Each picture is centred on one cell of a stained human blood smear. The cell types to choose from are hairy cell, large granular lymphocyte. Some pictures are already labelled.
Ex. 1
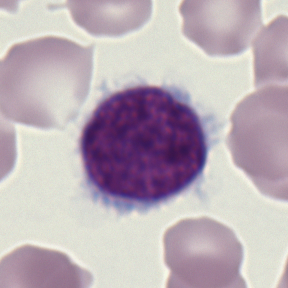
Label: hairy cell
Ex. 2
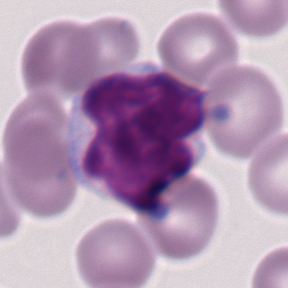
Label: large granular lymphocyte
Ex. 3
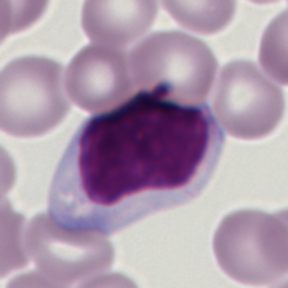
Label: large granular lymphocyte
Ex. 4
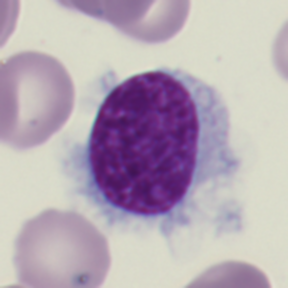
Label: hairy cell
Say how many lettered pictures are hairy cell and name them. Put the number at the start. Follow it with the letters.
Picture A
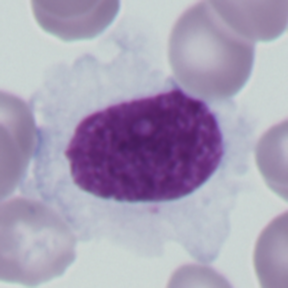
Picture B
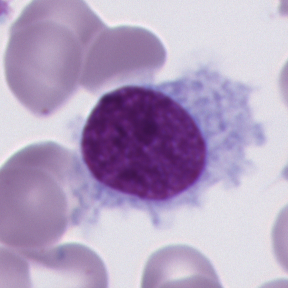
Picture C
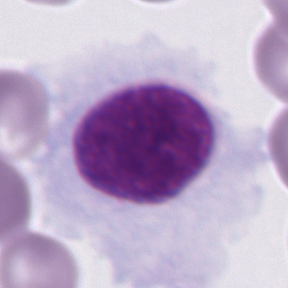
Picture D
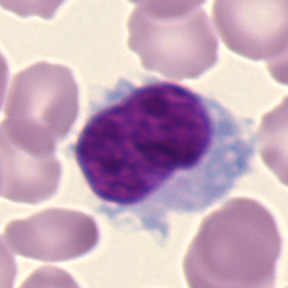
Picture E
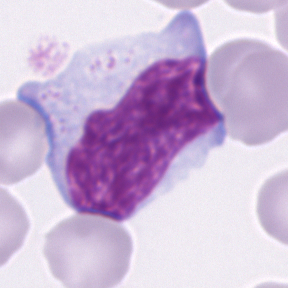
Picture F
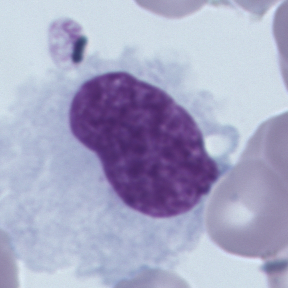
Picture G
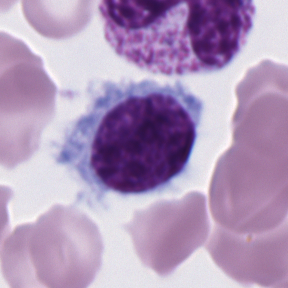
Count: 6 (A, B, C, D, F, G)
